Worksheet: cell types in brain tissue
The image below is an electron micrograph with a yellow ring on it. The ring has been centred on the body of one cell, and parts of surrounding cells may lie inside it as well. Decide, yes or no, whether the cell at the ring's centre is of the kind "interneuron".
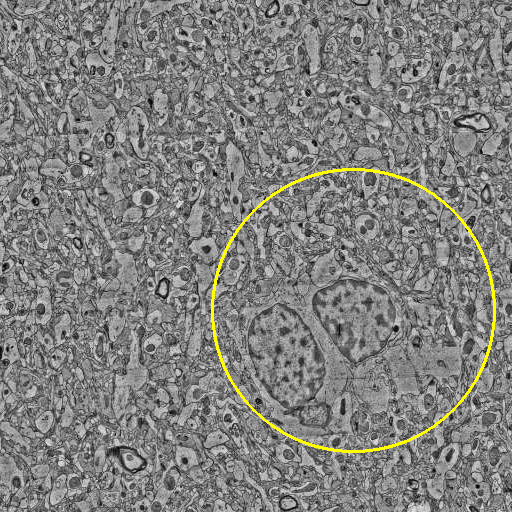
no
